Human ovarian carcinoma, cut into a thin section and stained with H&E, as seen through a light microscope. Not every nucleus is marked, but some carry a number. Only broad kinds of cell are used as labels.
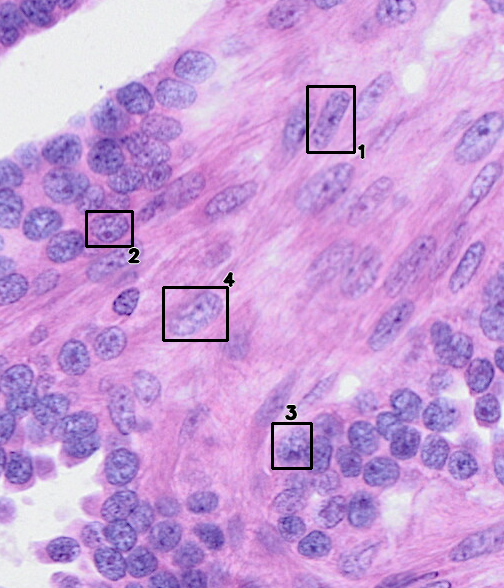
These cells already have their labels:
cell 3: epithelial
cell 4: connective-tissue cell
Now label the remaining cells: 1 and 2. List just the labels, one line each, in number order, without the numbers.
connective-tissue cell
epithelial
